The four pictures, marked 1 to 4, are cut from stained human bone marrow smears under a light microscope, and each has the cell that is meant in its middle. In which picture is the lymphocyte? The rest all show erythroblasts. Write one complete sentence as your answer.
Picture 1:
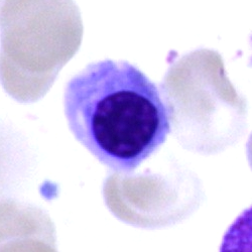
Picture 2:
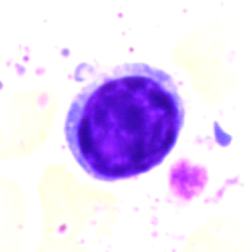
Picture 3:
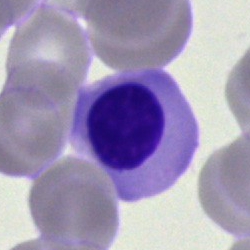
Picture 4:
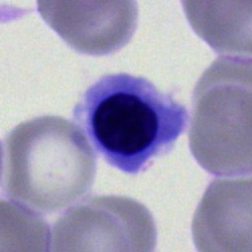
Picture 2 shows the lymphocyte.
